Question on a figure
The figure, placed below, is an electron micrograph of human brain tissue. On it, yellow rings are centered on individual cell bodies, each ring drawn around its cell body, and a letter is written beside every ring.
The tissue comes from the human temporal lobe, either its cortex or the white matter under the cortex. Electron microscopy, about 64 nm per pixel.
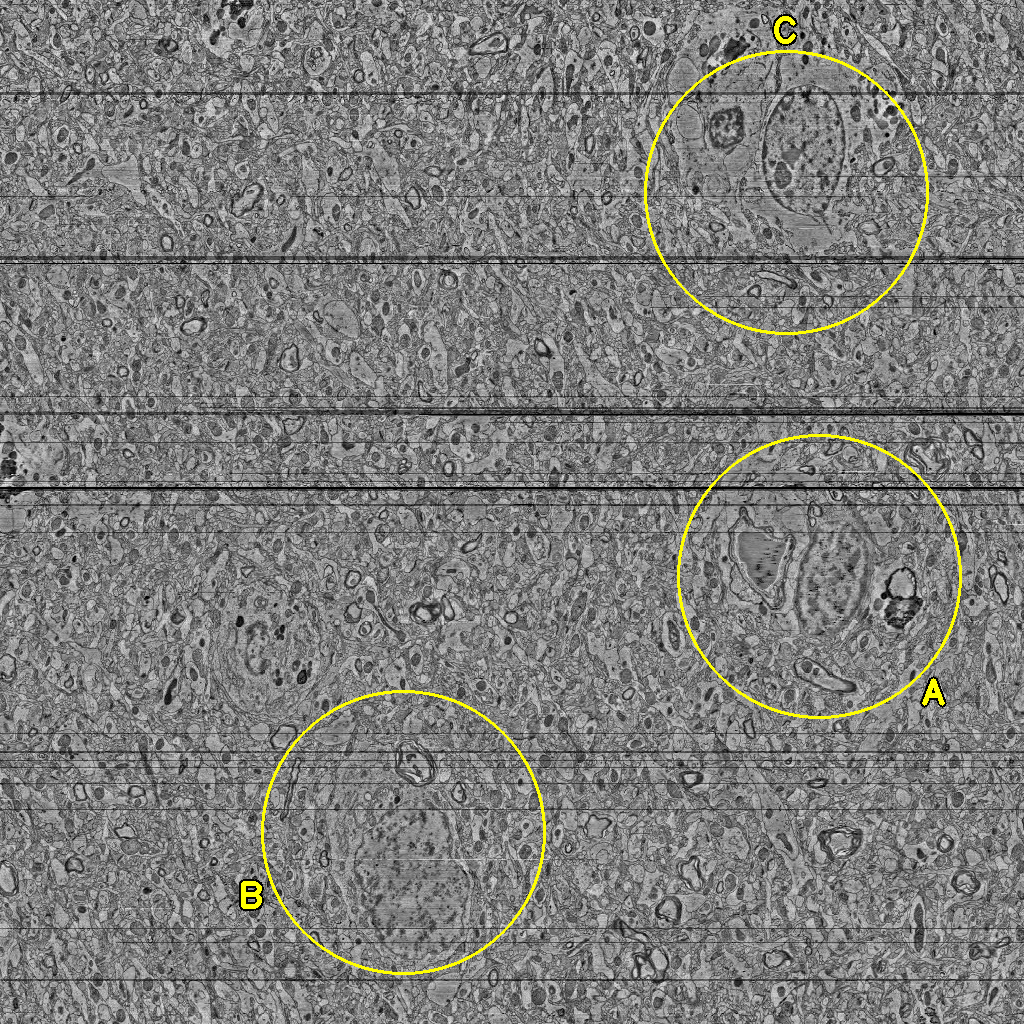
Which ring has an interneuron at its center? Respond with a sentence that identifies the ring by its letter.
The ring marked B has it at its center.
